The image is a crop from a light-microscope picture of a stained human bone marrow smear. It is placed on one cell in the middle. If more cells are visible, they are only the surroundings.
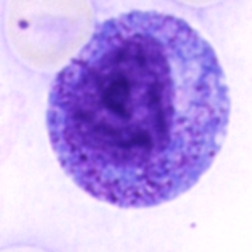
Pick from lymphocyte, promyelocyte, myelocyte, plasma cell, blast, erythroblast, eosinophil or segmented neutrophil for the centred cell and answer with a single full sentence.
Occupying the centre of the crop is a promyelocyte.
